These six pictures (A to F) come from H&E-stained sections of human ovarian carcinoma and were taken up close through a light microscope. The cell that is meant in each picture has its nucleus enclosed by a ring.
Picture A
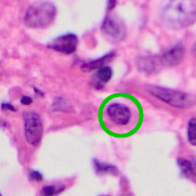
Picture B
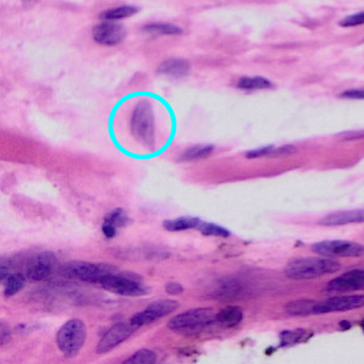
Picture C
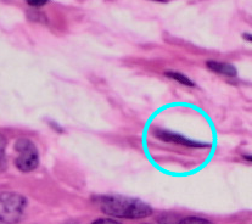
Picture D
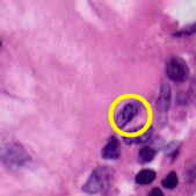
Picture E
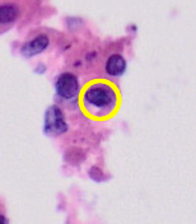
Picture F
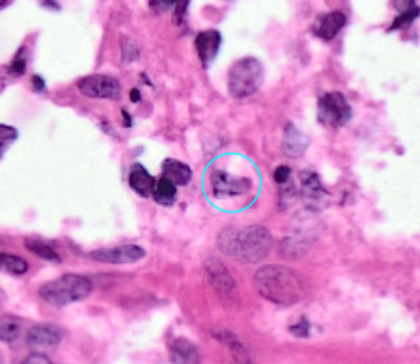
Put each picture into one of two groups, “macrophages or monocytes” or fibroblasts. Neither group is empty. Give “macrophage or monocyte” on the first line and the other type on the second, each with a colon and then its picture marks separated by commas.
macrophage or monocyte: A, D, E, F
fibroblast: B, C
